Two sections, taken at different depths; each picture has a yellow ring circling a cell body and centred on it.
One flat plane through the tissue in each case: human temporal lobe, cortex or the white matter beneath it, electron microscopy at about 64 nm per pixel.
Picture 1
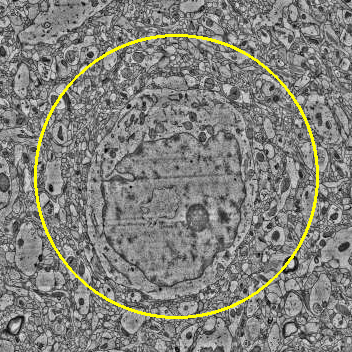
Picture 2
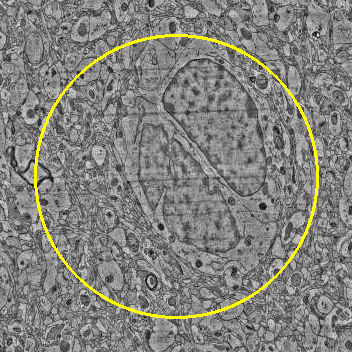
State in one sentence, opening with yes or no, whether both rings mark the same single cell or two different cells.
No, the yellow rings mark two cells that are not the same.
